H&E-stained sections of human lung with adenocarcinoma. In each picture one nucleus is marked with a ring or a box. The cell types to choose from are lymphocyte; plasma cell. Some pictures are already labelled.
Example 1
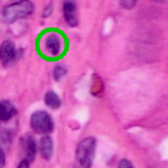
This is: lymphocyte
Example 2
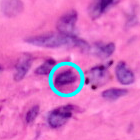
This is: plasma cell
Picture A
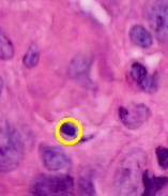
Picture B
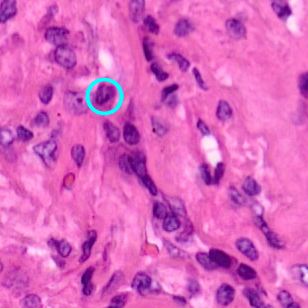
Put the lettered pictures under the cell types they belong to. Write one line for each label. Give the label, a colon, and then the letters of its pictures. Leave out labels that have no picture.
lymphocyte: A
plasma cell: B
